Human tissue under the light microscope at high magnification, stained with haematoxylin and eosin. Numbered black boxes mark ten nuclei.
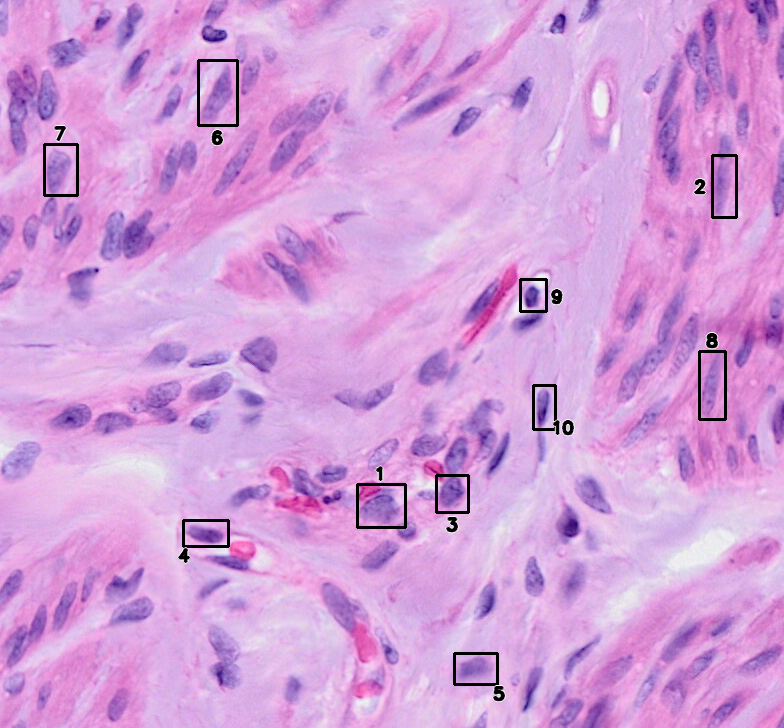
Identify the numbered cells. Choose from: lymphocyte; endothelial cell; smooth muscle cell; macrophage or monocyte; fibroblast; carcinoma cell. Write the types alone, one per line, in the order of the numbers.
endothelial cell
smooth muscle cell
endothelial cell
endothelial cell
fibroblast
smooth muscle cell
smooth muscle cell
smooth muscle cell
lymphocyte
fibroblast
